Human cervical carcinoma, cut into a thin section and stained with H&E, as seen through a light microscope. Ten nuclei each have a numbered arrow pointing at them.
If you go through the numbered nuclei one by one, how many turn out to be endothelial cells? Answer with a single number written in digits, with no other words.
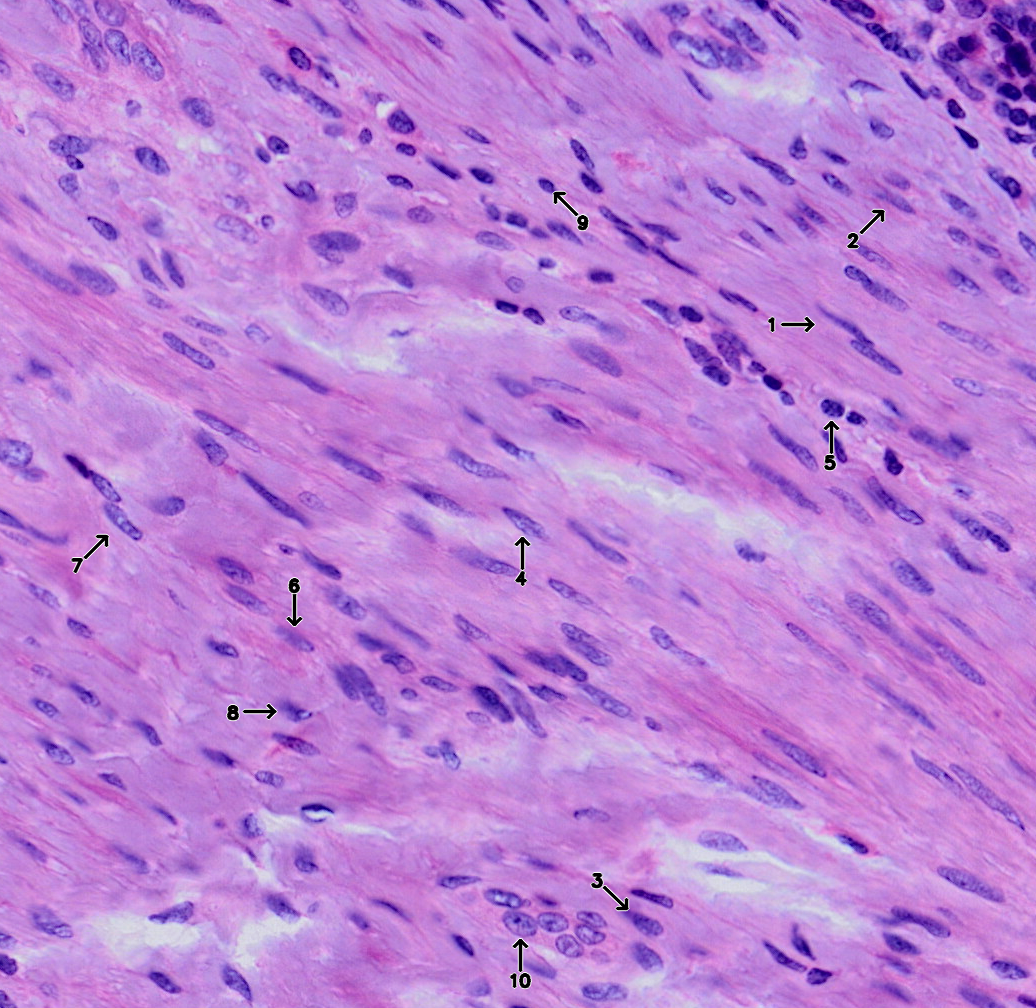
1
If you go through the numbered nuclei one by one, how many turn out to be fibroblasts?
6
